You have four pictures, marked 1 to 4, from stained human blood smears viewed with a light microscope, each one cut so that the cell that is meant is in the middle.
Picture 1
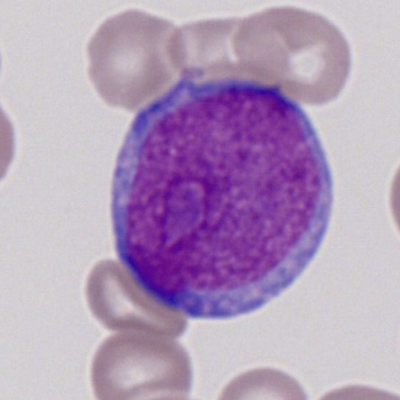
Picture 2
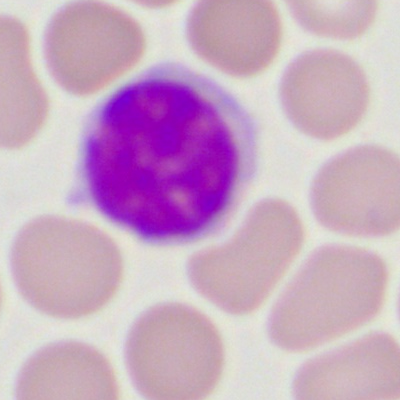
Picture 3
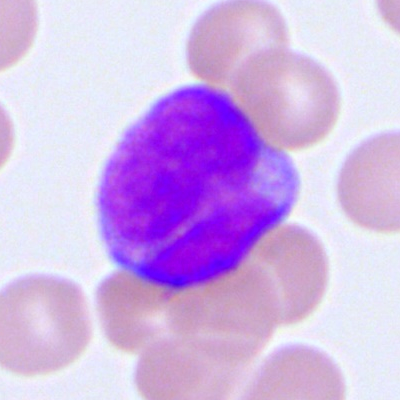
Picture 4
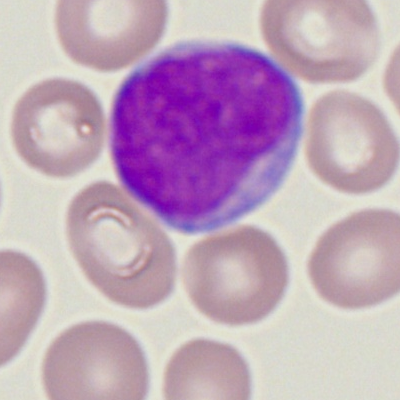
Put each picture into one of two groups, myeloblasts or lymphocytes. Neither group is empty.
1: myeloblast
2: lymphocyte
3: myeloblast
4: myeloblast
